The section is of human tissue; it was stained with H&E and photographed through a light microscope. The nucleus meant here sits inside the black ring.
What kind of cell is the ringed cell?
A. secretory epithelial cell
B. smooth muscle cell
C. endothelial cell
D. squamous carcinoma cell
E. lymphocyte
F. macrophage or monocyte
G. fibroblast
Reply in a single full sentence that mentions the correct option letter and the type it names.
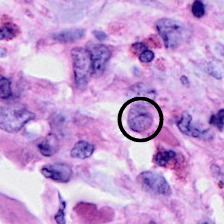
Option F gets it right: the ringed cell is a macrophage or monocyte.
